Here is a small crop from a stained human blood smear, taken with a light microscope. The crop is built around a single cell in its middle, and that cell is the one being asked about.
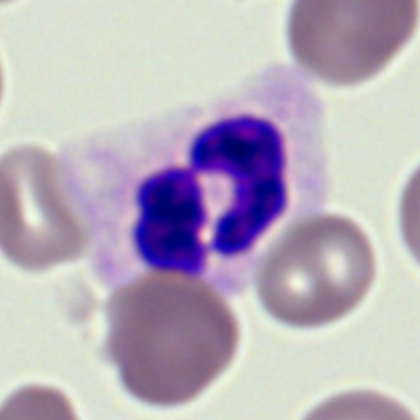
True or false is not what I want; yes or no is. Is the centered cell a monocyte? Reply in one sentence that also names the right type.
No, it isn't a monocyte; what sits in the middle is a segmented neutrophil.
